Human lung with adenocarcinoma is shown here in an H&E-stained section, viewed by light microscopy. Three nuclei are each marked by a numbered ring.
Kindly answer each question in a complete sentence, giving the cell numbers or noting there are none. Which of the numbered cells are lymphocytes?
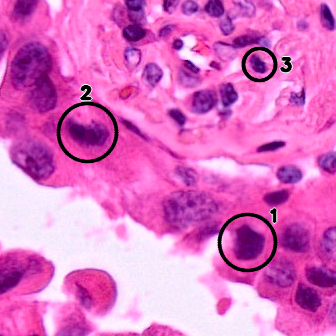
The nucleus numbered 3 is the only one that belongs to a lymphocyte.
